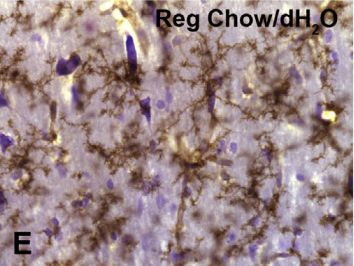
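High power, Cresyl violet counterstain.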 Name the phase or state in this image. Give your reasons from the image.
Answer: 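Brown cells have small bodies. Processes are long, thin and finely branched.
Answer: resting cells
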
